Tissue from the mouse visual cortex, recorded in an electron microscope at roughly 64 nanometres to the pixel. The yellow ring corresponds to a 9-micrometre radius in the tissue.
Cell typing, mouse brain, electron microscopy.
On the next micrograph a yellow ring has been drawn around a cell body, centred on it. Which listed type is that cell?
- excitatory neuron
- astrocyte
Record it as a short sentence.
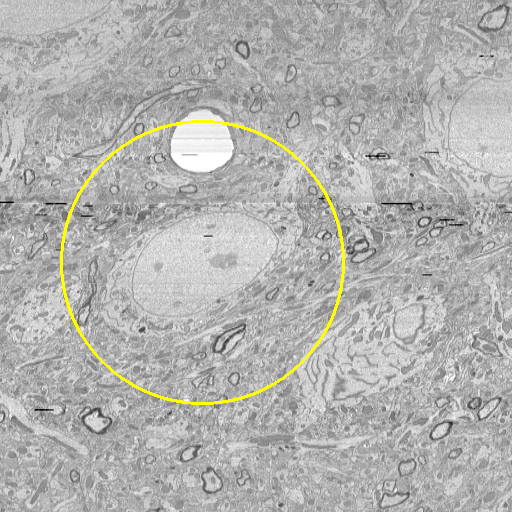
The cell body in the ring's centre belongs to an excitatory neuron.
